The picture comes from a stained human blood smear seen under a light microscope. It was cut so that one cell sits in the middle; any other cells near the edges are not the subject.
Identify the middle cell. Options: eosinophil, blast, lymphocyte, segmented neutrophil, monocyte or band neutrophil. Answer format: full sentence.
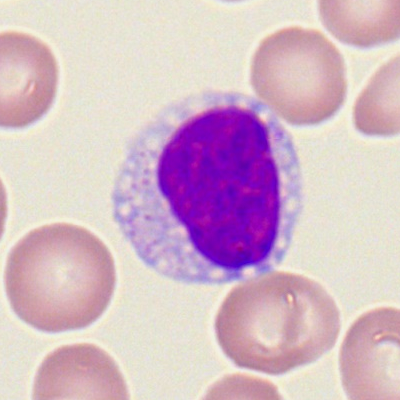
The cell under consideration, at the middle of the crop, is a lymphocyte.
